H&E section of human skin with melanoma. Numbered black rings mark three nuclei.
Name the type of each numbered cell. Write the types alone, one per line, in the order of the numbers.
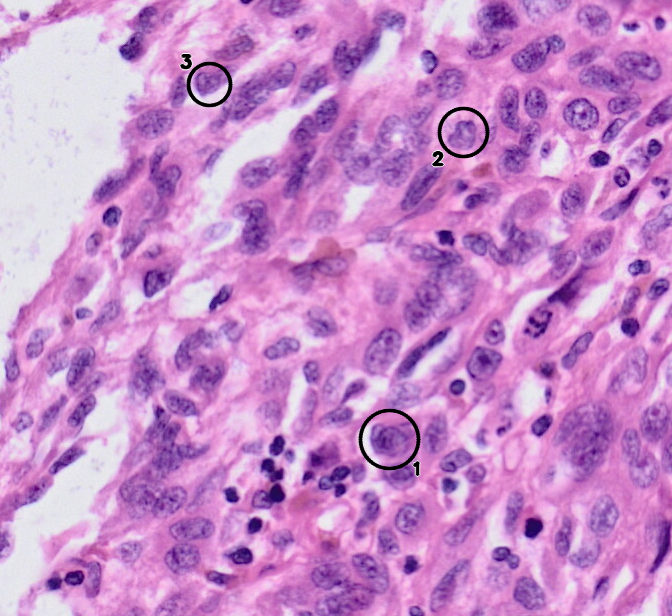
melanoma cell
macrophage or monocyte
melanoma cell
